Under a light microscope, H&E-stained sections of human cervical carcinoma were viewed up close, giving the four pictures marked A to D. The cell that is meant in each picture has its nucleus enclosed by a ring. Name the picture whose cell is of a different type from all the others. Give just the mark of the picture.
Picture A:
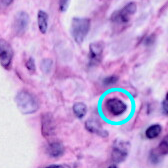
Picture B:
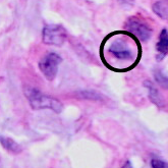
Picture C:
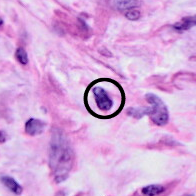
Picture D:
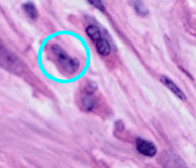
D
